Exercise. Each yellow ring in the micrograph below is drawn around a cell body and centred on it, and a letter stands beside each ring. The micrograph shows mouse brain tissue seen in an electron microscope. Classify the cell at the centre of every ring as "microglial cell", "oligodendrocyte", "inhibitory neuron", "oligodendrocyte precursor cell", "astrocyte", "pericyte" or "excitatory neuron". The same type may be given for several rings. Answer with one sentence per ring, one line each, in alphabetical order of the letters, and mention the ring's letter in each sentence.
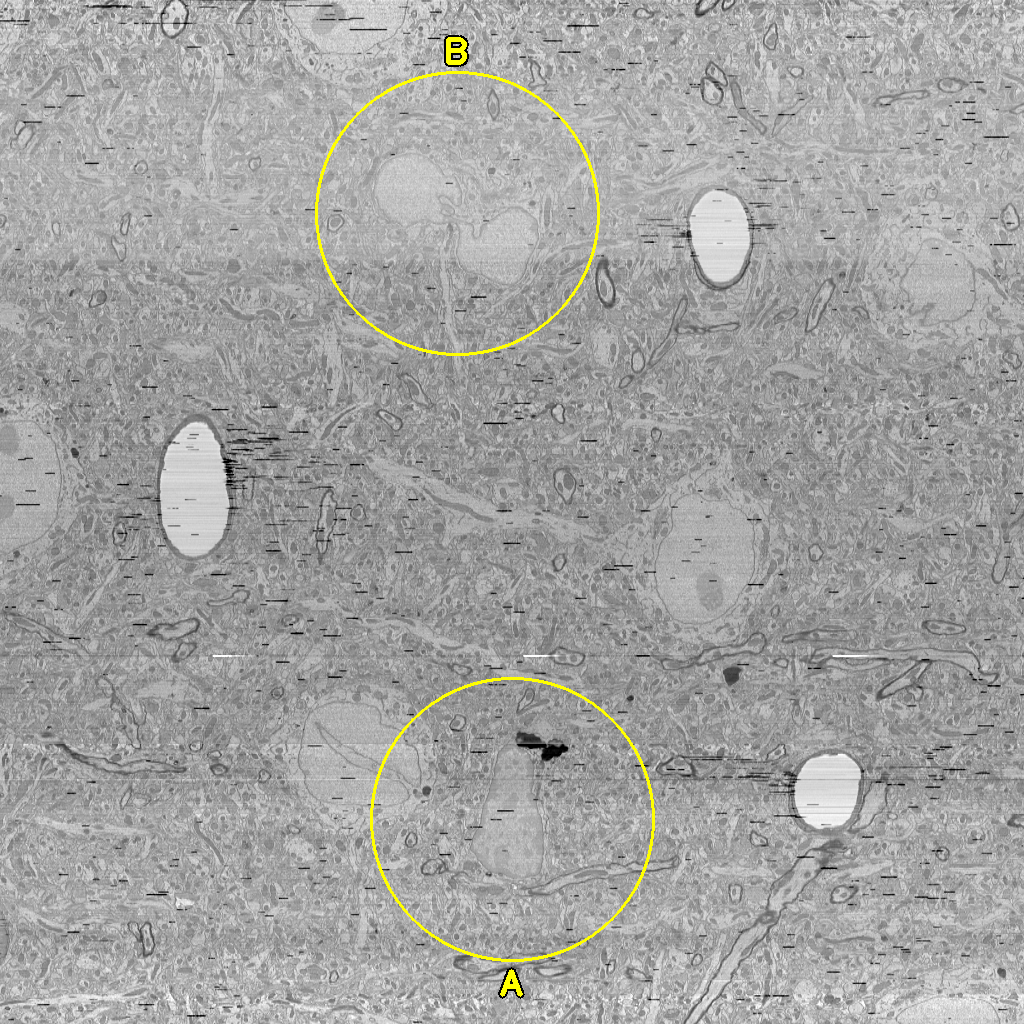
In ring A, the central cell is a microglial cell.
In ring B, the central cell is an oligodendrocyte precursor cell.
